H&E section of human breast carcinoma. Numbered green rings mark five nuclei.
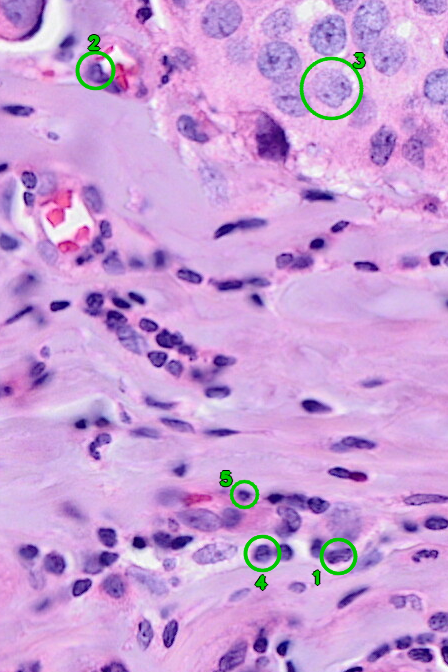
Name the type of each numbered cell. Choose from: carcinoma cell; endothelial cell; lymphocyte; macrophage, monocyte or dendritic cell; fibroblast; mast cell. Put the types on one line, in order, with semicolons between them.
lymphocyte; endothelial cell; carcinoma cell; lymphocyte; lymphocyte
